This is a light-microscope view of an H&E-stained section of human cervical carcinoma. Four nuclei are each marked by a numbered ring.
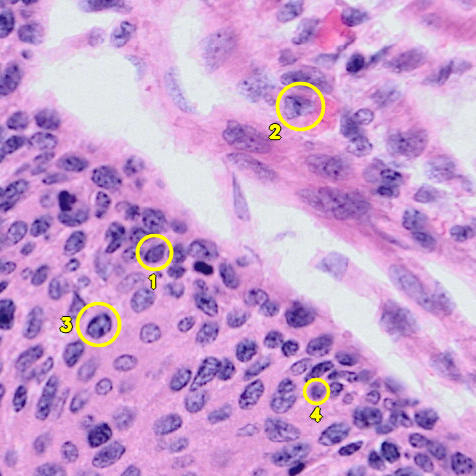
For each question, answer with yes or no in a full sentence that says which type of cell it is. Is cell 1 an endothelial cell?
No, as for cell 1, it is a squamous carcinoma cell and not an endothelial cell.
